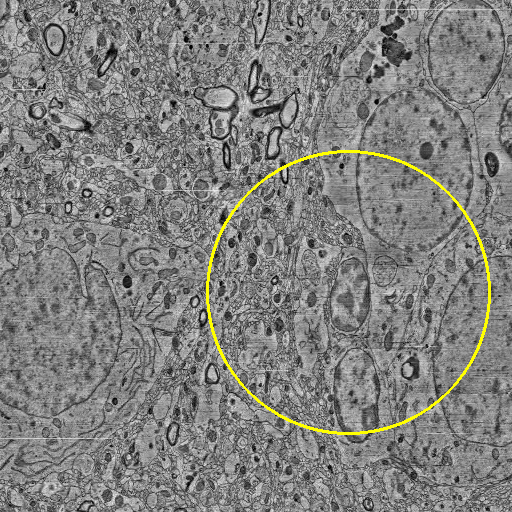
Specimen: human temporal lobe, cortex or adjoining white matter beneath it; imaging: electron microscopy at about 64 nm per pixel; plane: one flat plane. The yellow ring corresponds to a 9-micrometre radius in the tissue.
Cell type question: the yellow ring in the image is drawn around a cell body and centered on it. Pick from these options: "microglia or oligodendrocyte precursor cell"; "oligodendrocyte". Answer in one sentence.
The ringed cell at the center is a microglial cell or oligodendrocyte precursor cell.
